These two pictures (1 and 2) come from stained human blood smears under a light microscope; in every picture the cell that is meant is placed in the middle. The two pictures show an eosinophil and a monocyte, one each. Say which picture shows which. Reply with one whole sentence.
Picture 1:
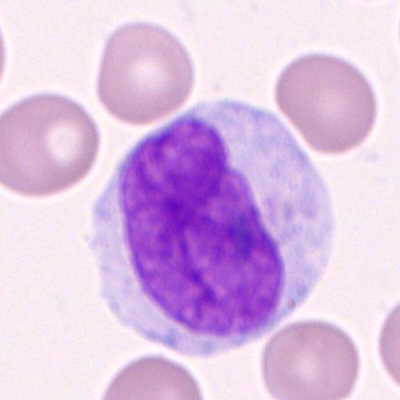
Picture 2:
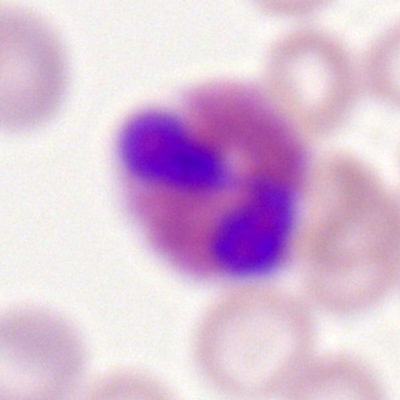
The cell in picture 1 is a monocyte, and the one in picture 2 is an eosinophil.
